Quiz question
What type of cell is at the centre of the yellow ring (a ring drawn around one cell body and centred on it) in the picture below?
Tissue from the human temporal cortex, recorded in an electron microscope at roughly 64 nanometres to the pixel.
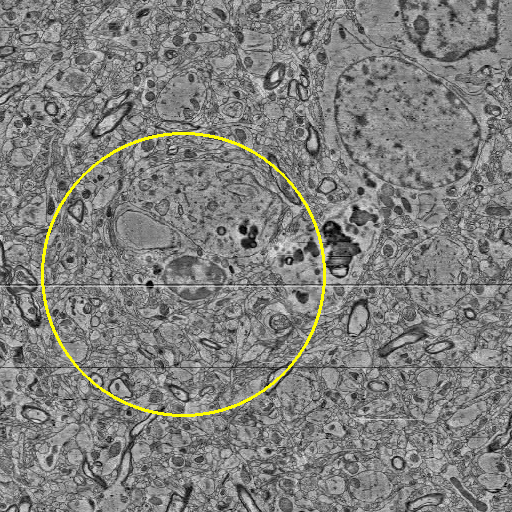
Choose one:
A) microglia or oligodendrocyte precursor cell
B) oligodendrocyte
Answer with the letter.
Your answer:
A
